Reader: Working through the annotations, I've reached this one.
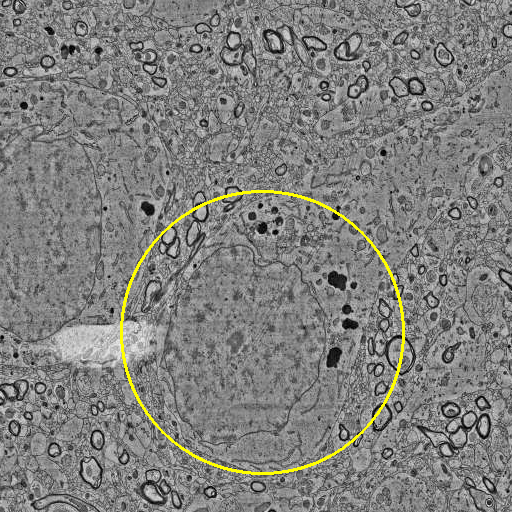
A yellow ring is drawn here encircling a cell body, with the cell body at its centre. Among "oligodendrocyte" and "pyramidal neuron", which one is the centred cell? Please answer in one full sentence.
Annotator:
The cell body at the centre of the yellow ring in this image belongs to a pyramidal neuron.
